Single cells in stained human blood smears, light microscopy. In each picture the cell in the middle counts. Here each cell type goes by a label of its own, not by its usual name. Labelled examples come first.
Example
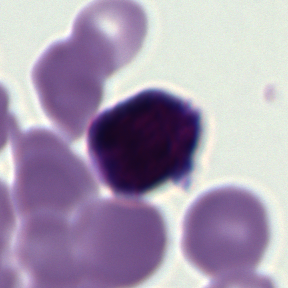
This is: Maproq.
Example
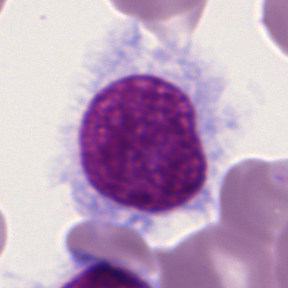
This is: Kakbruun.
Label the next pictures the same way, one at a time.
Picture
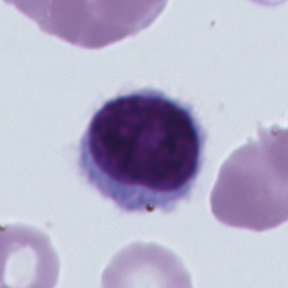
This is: Kakbruun.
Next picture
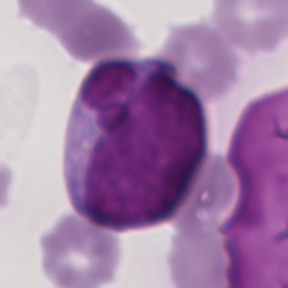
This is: Maproq.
